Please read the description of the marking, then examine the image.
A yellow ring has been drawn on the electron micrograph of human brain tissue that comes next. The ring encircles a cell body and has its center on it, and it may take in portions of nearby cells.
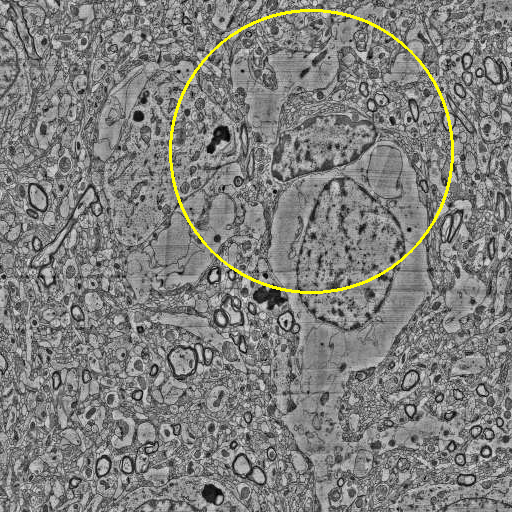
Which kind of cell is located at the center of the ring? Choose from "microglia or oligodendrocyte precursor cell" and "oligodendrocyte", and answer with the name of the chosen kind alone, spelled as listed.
microglia or oligodendrocyte precursor cell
